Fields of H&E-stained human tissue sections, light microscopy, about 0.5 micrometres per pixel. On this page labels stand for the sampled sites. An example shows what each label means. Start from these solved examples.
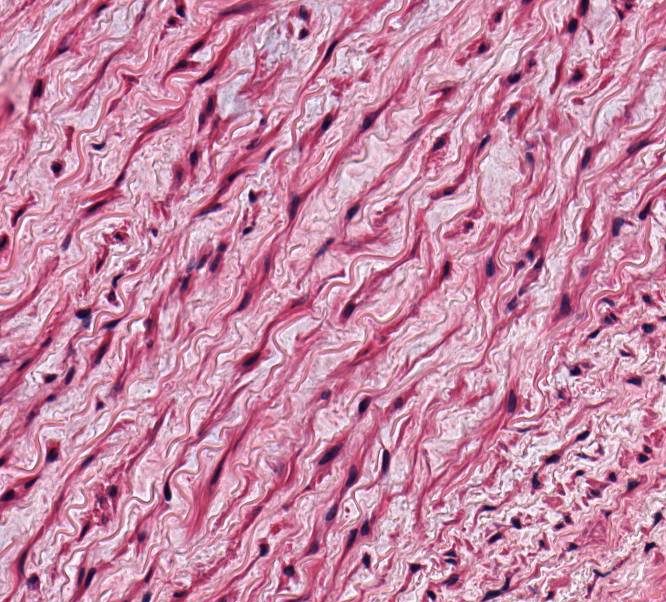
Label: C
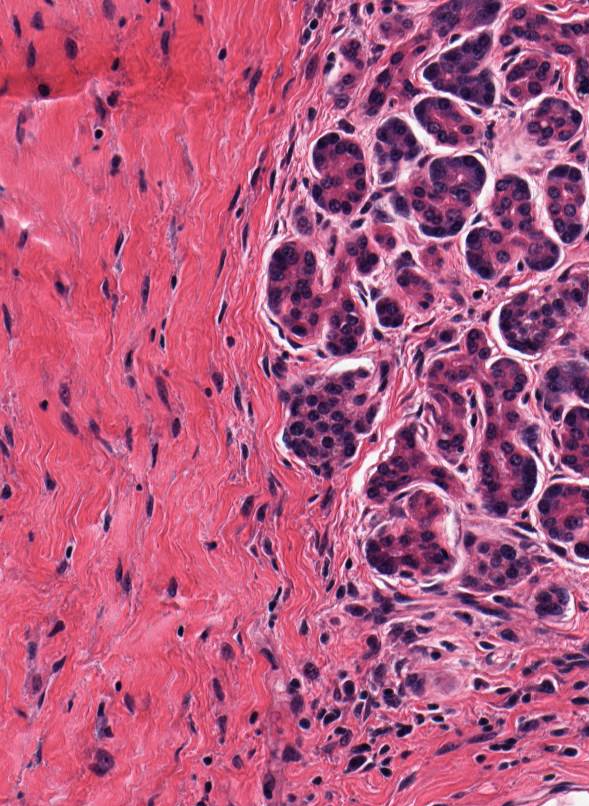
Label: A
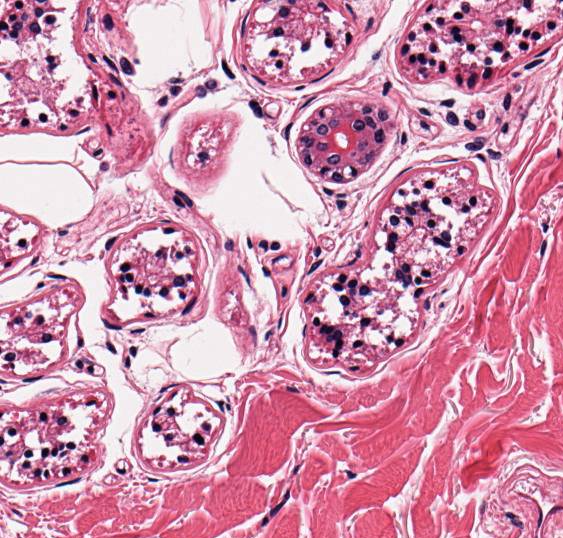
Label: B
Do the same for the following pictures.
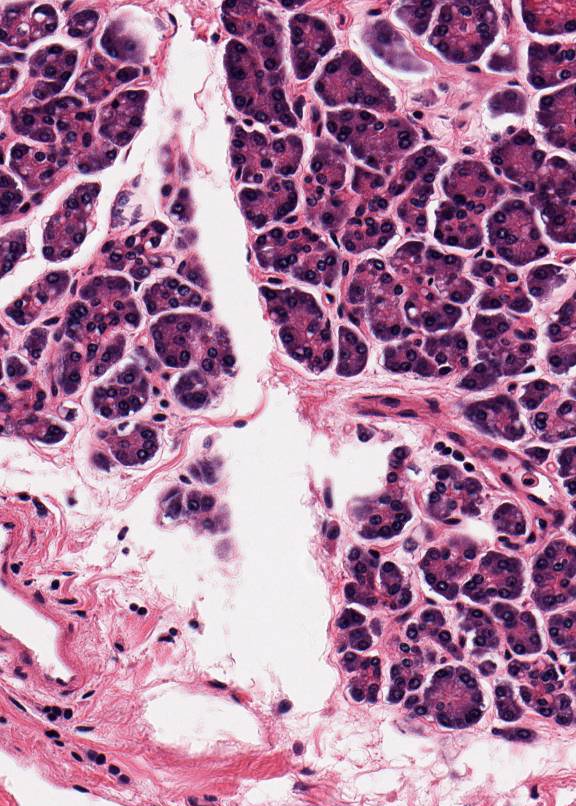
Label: A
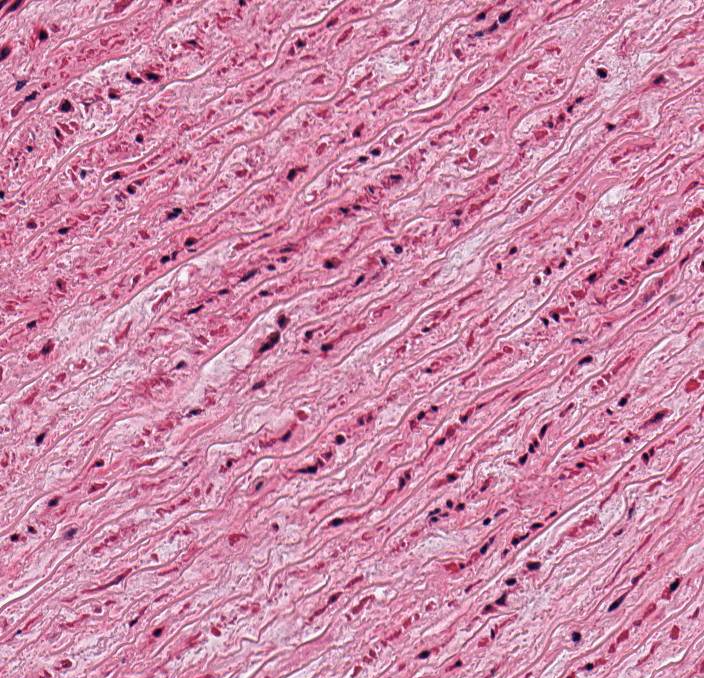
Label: C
